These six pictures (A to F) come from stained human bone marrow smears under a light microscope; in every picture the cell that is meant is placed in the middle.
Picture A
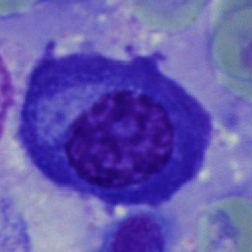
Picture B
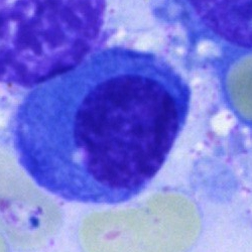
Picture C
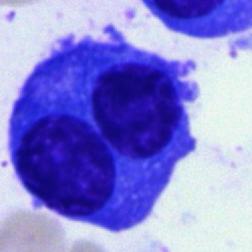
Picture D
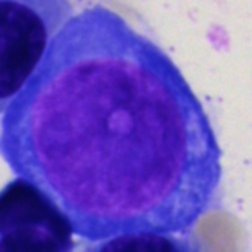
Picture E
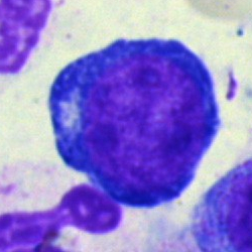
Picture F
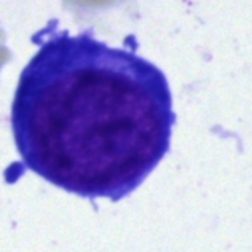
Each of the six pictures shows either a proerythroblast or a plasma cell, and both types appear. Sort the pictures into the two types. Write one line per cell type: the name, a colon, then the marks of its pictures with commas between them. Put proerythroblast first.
proerythroblast: D, E, F
plasma cell: A, B, C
